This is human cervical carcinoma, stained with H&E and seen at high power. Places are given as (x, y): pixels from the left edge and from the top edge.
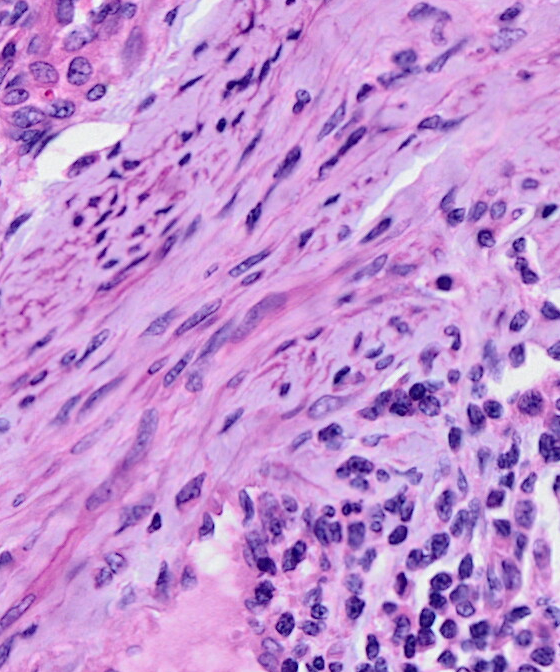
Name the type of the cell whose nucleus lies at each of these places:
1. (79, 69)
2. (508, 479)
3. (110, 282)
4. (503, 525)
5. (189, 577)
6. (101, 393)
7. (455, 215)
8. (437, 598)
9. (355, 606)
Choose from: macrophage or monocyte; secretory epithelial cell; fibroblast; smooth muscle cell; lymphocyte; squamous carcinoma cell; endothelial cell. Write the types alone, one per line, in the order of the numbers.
endothelial cell
lymphocyte
smooth muscle cell
lymphocyte
endothelial cell
smooth muscle cell
lymphocyte
lymphocyte
lymphocyte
